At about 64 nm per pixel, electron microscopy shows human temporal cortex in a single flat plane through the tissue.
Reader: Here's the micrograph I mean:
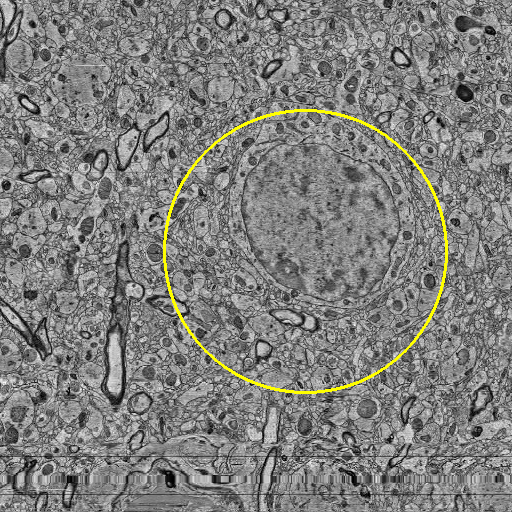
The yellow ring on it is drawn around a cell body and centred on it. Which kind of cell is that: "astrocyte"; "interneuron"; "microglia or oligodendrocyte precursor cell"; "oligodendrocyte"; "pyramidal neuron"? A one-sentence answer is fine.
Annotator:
The ring is centred on an interneuron.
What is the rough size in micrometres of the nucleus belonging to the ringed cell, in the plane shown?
In this plane the nucleus spans approximately 11 by 9 micrometers.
